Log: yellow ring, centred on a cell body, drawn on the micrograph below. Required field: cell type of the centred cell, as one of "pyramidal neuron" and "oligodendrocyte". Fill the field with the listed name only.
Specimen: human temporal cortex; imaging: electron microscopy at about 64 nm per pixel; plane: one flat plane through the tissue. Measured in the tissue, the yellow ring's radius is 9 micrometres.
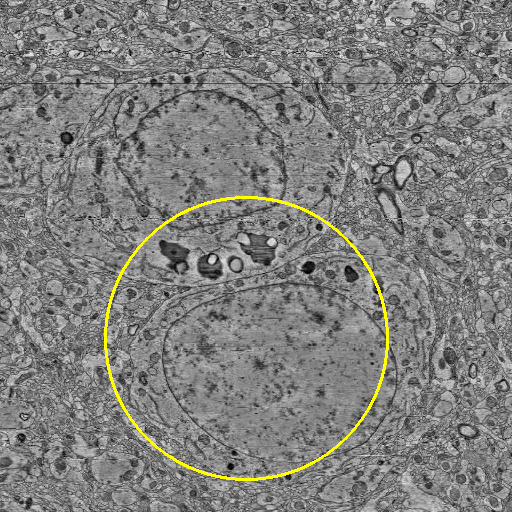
pyramidal neuron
